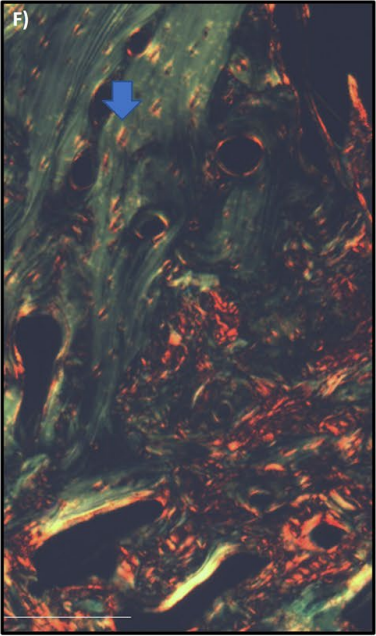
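This is bone seen under polarized light, where the collagen of the matrix glows green, yellow and red. Across the upper left runs a broad band of orderly, parallel green fibers, and scattered through it are small dark osteocyte lacunae, each ringed by red or orange. Lower down the matrix breaks into looser red and orange fibers around rounded dark spaces.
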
